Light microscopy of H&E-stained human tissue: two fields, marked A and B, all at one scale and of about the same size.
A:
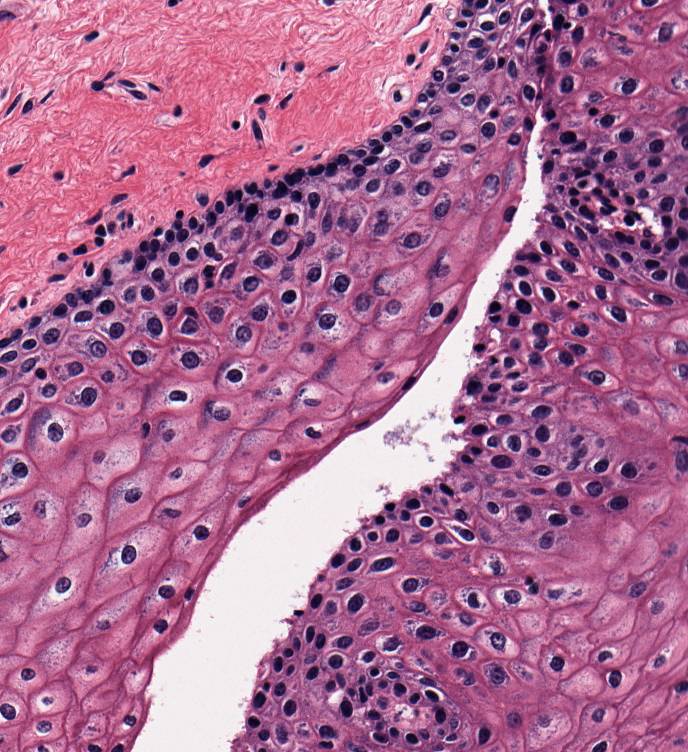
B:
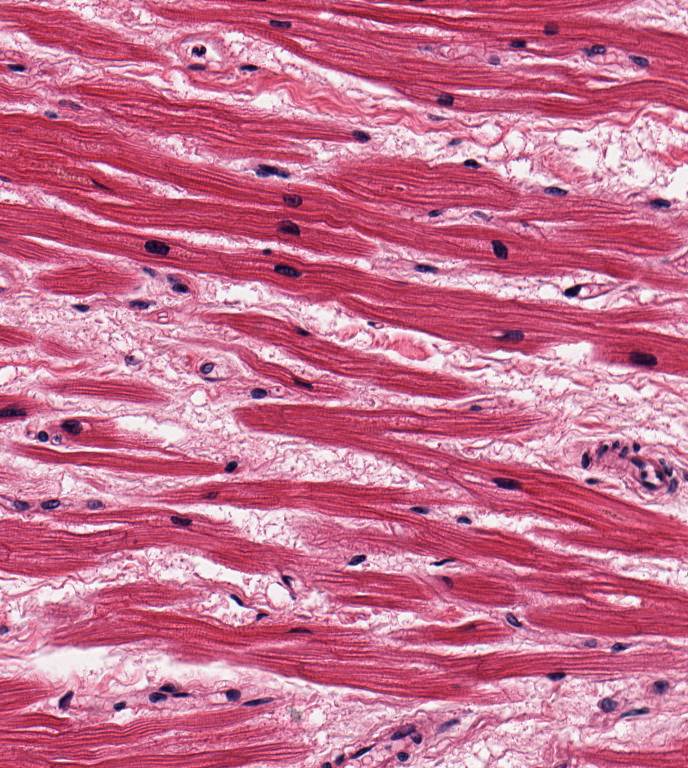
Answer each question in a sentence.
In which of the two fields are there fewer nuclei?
It is picture B that has fewer nuclei in it.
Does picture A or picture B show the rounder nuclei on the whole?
The nuclei are rounder in picture A.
